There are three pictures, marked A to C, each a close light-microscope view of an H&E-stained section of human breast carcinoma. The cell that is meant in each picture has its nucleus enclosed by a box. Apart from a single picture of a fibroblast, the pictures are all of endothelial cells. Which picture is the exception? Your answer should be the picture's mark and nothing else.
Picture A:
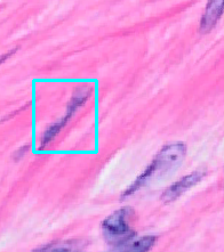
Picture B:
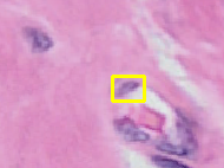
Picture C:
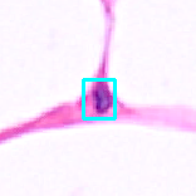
A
